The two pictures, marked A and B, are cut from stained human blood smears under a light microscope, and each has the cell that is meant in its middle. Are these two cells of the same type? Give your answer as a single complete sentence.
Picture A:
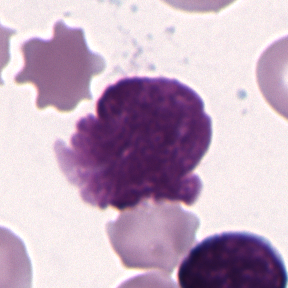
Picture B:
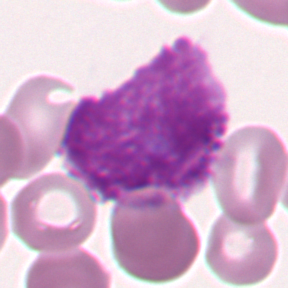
Yes; the cells in both pictures are smudge cells.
